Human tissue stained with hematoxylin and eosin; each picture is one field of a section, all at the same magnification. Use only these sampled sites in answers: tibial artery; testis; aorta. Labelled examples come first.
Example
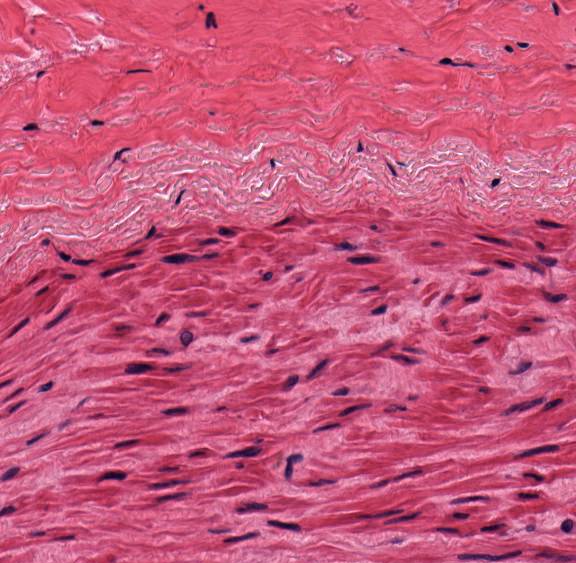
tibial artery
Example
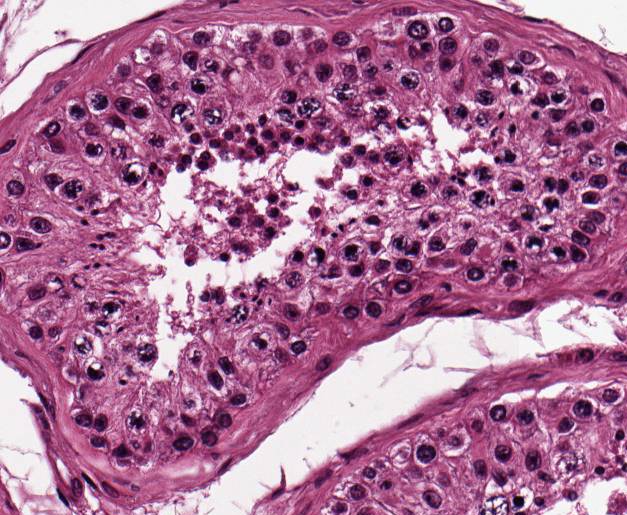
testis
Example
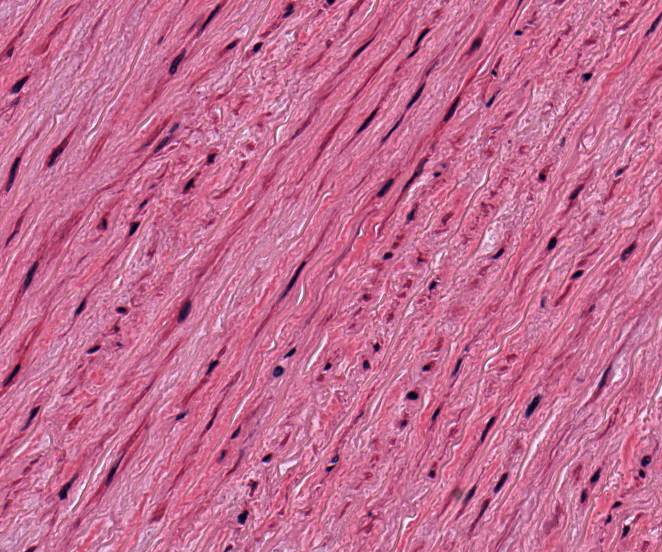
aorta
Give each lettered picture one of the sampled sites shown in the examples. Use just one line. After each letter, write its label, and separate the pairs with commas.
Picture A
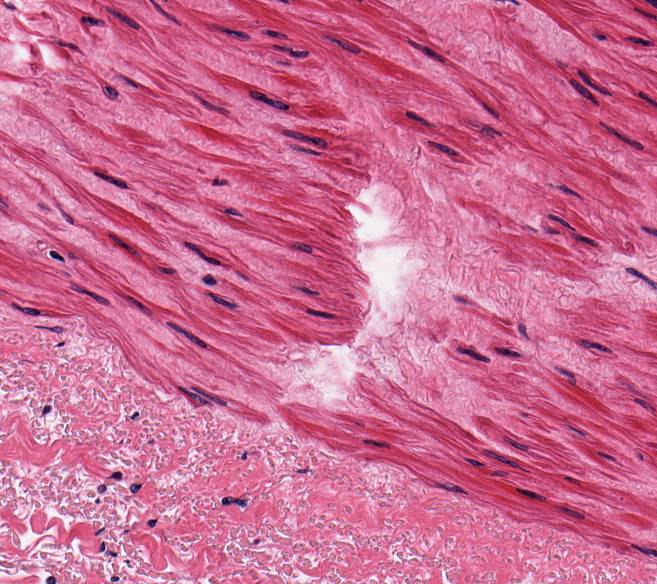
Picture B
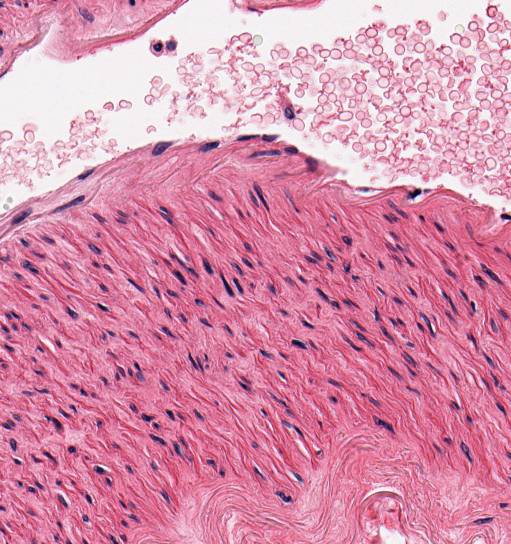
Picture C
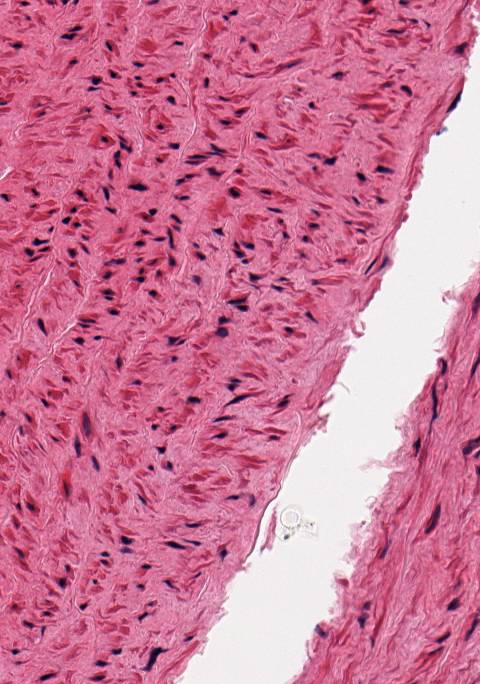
A tibial artery, B tibial artery, C aorta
